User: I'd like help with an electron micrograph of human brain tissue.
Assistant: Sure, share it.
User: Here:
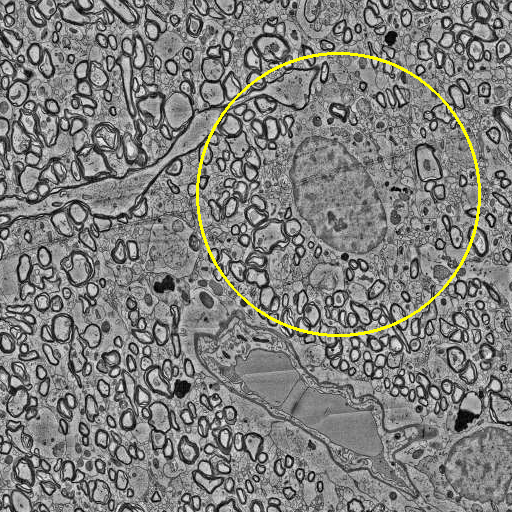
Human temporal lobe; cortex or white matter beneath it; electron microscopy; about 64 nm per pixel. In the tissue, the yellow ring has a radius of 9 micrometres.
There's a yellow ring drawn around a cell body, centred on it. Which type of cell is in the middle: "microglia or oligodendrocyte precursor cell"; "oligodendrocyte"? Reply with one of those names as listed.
oligodendrocyte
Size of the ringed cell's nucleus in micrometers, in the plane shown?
The nucleus has a long axis of about 9 micrometres and a short axis of about 5 micrometres in this plane.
